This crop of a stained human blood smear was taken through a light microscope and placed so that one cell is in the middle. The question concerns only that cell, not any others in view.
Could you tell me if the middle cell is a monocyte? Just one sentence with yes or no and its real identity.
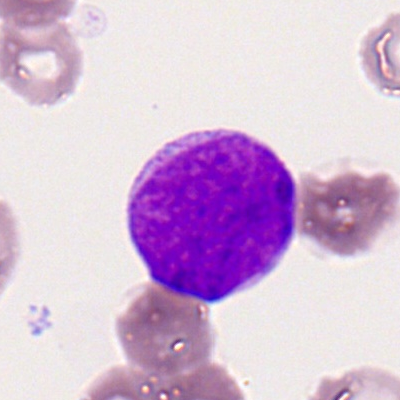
No, the cell at the centre is a myeloblast, which rules out a monocyte.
